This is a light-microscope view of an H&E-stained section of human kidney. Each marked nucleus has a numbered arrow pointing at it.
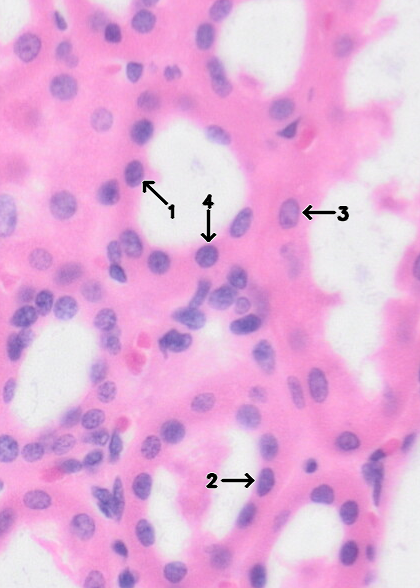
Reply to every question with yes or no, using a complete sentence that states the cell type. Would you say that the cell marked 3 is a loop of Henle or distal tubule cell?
No, instead of a loop of Henle or distal tubule cell, the cell with number 3 is a proximal tubule cell.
